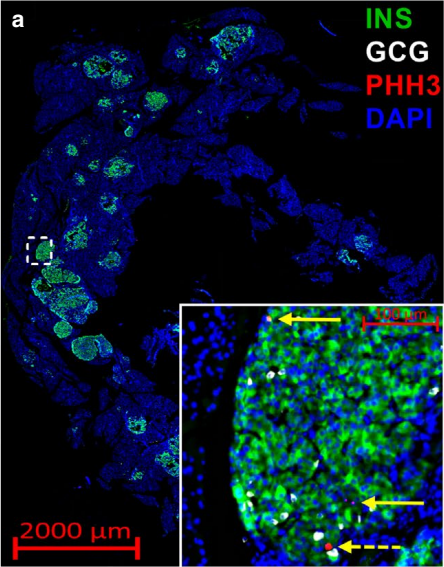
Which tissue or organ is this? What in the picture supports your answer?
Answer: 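Pancreatic. Lobulated tissue with many nuclei across a large section. Numerous round clusters of green-stained cells scattered through the tissue.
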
